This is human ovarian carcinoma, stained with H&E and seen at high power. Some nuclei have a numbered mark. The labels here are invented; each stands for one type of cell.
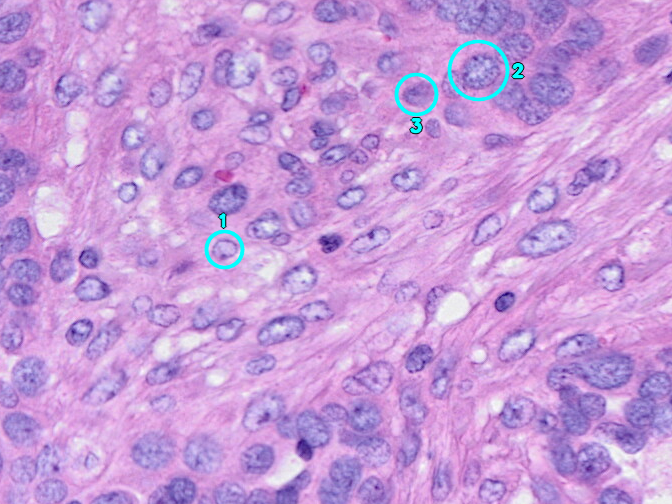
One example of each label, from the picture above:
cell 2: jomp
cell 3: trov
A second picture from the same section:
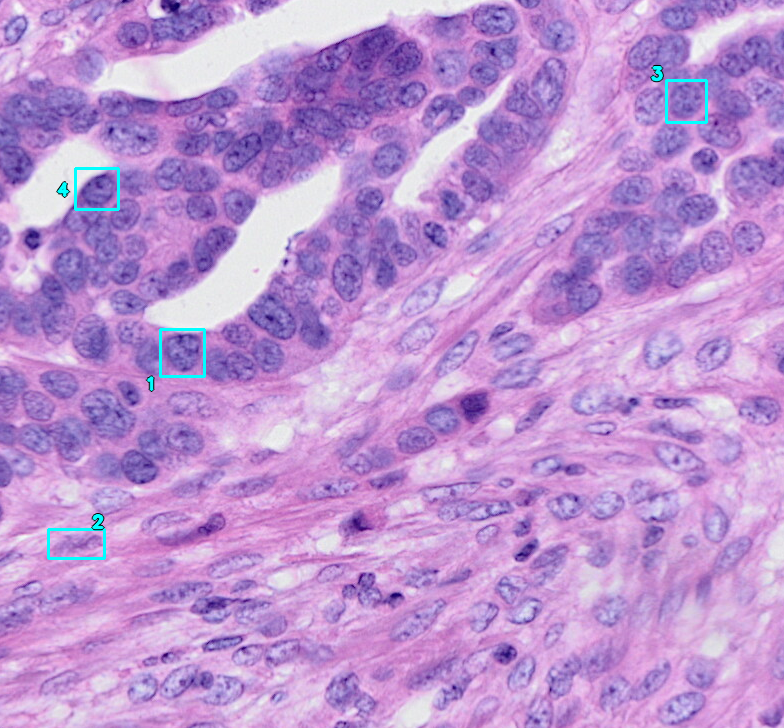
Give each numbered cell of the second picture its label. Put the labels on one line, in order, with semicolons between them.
jomp; trov; jomp; jomp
